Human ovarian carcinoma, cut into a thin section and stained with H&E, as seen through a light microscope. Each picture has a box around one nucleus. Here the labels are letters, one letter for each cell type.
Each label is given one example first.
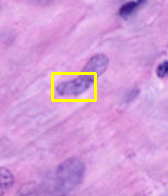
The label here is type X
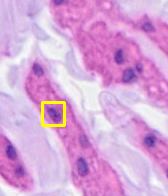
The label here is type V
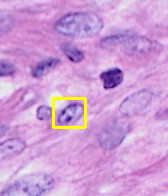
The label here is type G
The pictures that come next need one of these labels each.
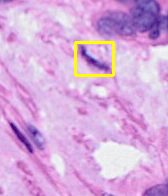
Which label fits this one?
type G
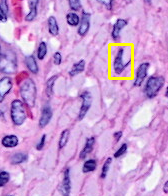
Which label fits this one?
type G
